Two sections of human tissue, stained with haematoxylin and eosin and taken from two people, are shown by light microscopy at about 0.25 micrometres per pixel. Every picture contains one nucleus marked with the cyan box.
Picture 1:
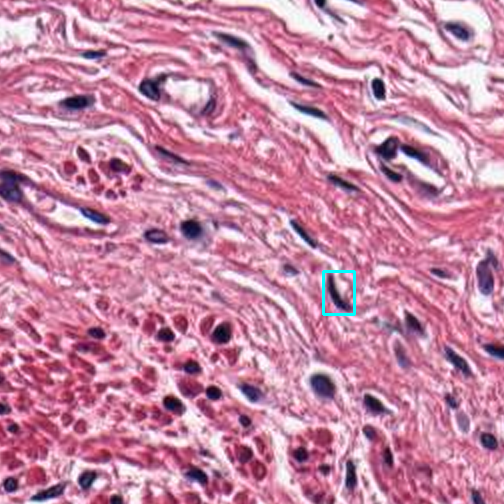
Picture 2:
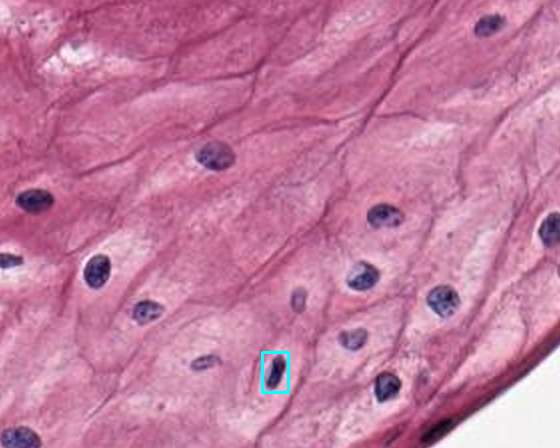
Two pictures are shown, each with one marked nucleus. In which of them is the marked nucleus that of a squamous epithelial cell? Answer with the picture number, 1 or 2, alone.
2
